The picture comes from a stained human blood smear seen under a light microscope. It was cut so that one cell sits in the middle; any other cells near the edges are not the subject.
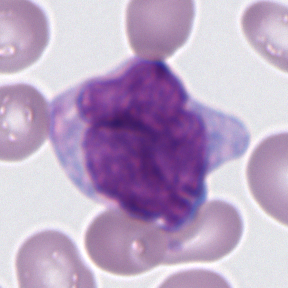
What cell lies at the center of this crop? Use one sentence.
Here the centrally located cell is an atypical promyelocyte.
